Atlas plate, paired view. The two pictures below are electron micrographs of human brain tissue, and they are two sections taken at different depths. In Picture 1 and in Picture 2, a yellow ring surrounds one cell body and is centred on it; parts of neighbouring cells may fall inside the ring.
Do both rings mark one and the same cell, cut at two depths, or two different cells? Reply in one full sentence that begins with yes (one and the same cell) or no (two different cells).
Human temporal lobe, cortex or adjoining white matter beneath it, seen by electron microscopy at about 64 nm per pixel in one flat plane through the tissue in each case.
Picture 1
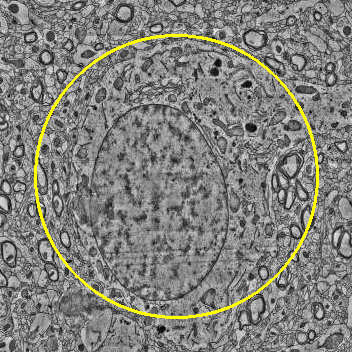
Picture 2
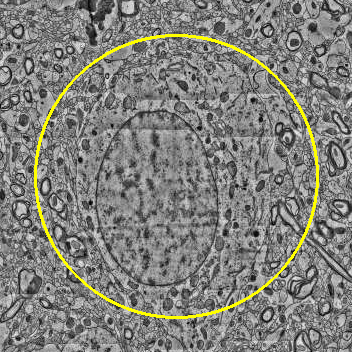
Yes, only one cell is involved, and both rings mark it.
